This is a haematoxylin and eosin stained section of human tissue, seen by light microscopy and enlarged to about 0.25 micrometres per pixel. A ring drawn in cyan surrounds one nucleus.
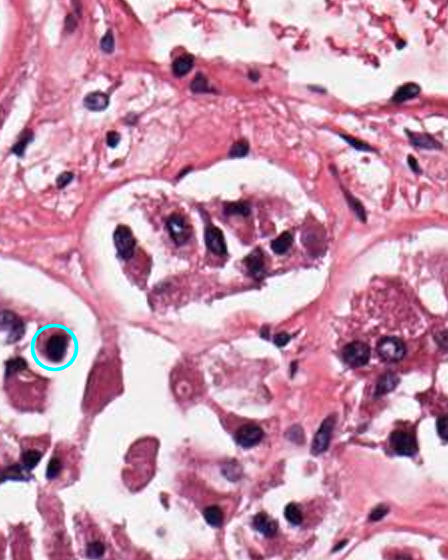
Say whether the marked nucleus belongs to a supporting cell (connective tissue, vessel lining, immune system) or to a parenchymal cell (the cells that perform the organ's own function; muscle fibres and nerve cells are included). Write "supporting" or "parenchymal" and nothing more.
parenchymal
